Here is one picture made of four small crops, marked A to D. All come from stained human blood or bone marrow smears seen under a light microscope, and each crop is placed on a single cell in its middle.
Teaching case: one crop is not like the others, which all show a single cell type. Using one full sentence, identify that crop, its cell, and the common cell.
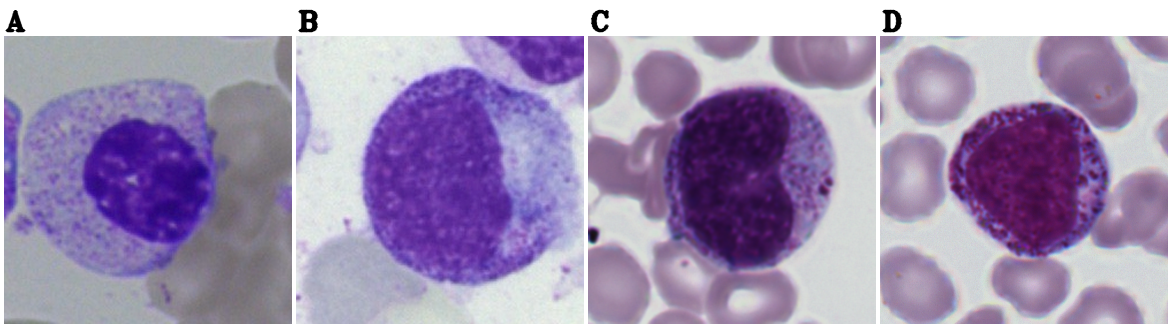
The different crop is B; it is a promyelocyte, and the others all show myelocytes.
